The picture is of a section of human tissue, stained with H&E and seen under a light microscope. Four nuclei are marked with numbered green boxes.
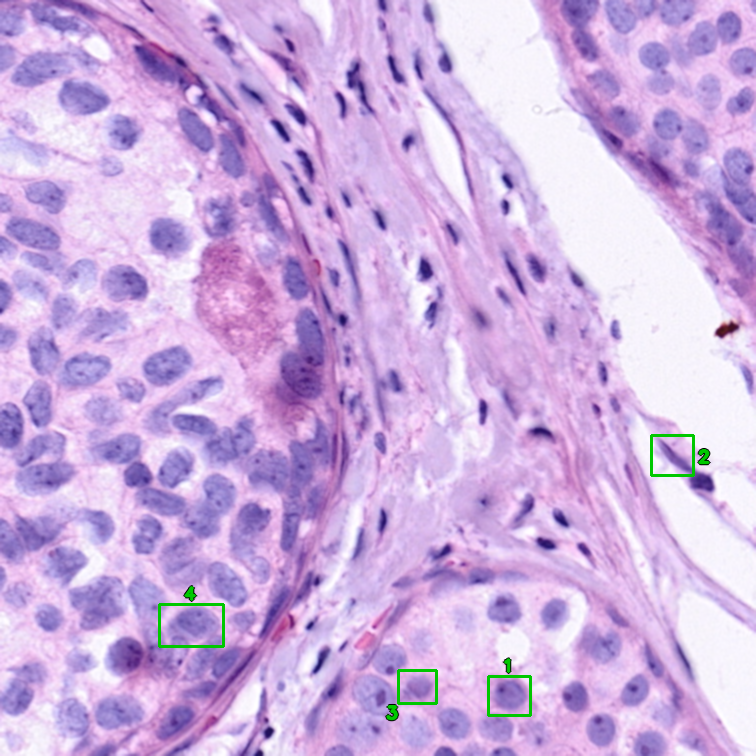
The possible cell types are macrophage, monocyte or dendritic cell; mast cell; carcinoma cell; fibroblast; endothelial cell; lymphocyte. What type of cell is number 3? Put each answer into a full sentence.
The cell assigned the number 3 is a carcinoma cell.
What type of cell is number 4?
Number 4 is placed on a carcinoma cell here.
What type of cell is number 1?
In this section, the cell tagged 1 is a carcinoma cell.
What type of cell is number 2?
Cell 2 of the marked set is a fibroblast.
